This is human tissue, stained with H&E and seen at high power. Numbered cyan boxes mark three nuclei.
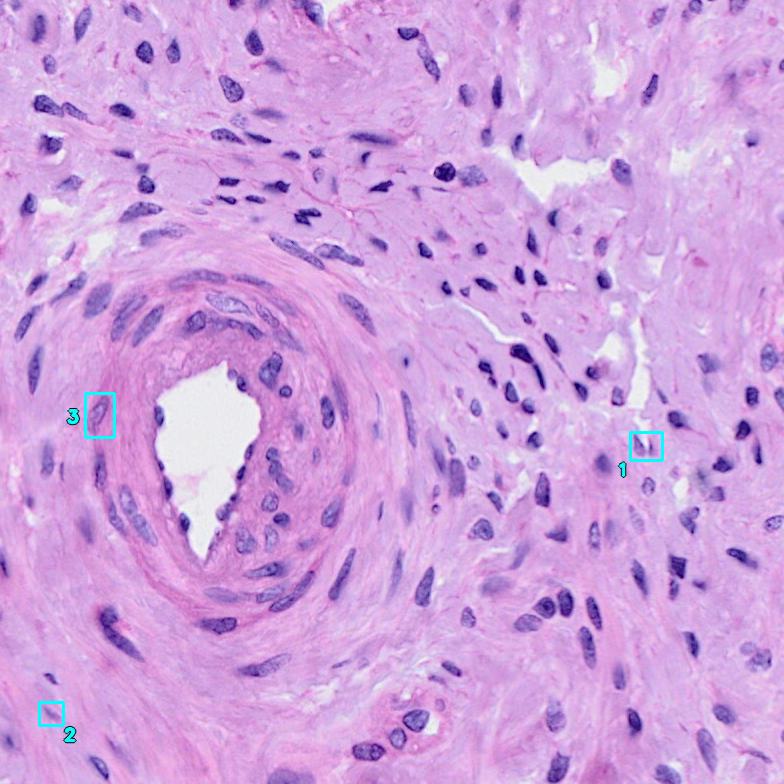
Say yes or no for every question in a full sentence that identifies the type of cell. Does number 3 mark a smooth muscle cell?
Yes, the cell tagged with number 3 is a smooth muscle cell.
